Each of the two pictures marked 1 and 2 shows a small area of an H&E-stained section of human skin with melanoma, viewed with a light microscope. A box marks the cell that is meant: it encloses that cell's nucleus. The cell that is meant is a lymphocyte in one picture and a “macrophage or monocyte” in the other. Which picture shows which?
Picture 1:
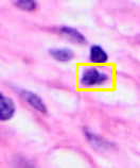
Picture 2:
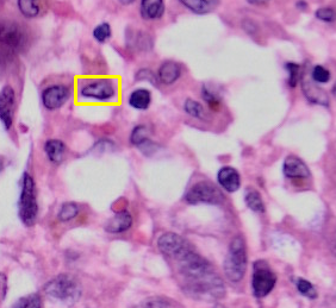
1: lymphocyte
2: macrophage or monocyte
